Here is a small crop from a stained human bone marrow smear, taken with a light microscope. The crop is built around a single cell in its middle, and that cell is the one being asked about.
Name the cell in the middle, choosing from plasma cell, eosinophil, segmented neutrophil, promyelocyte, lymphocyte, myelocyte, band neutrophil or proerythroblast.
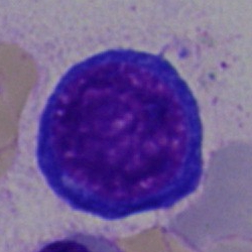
proerythroblast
